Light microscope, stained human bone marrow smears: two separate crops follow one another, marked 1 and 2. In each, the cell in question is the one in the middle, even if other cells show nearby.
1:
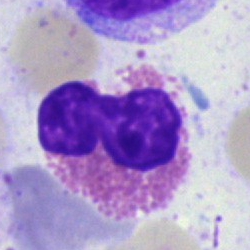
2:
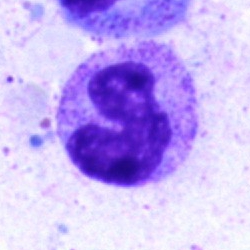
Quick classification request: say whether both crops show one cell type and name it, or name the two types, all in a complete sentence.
No, crop 1 is the one with an eosinophil; crop 2 has a band neutrophil.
